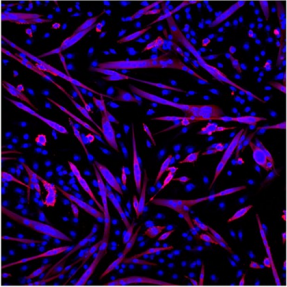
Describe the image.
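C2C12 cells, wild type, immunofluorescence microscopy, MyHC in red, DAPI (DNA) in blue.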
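Cultured muscle cells in which red, elongated spindle-shaped myotubes lie scattered among many single blue nuclei. The myotubes run in various directions and some have tapering ends.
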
